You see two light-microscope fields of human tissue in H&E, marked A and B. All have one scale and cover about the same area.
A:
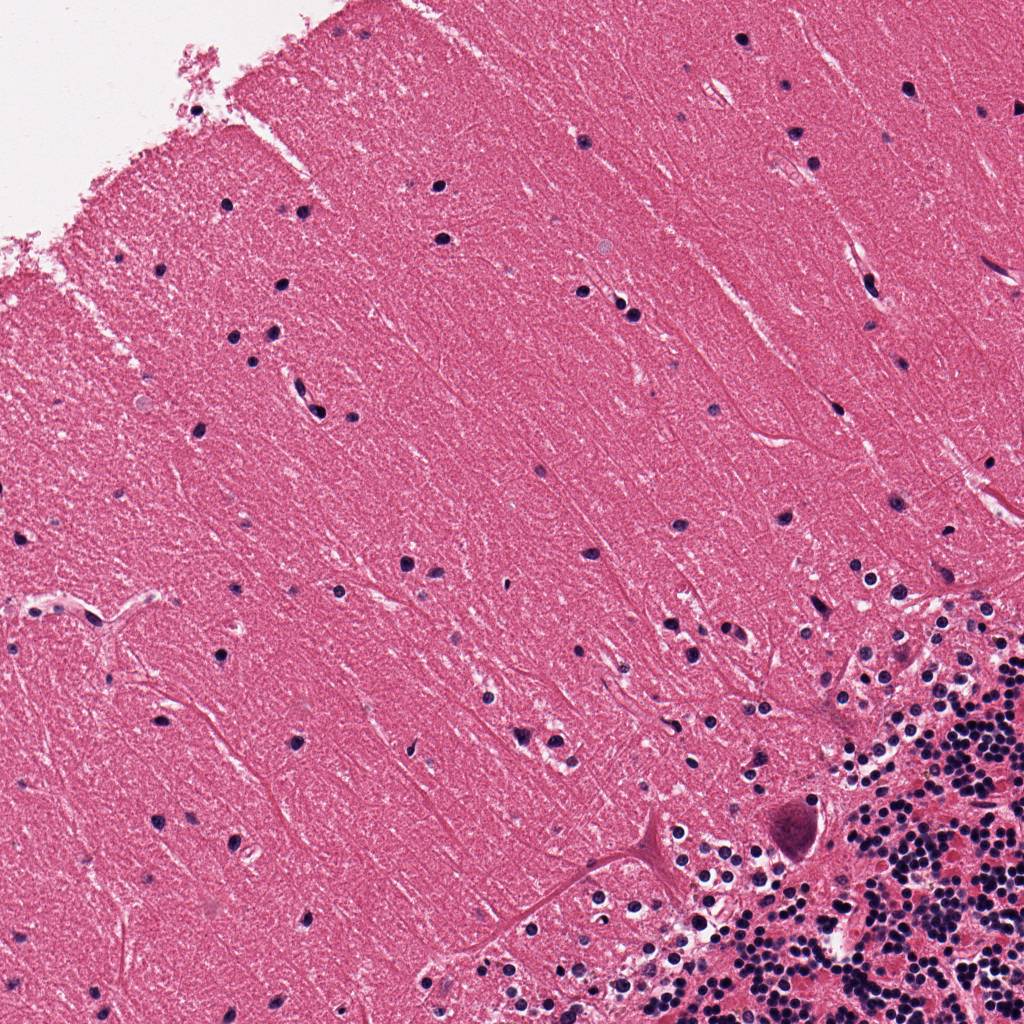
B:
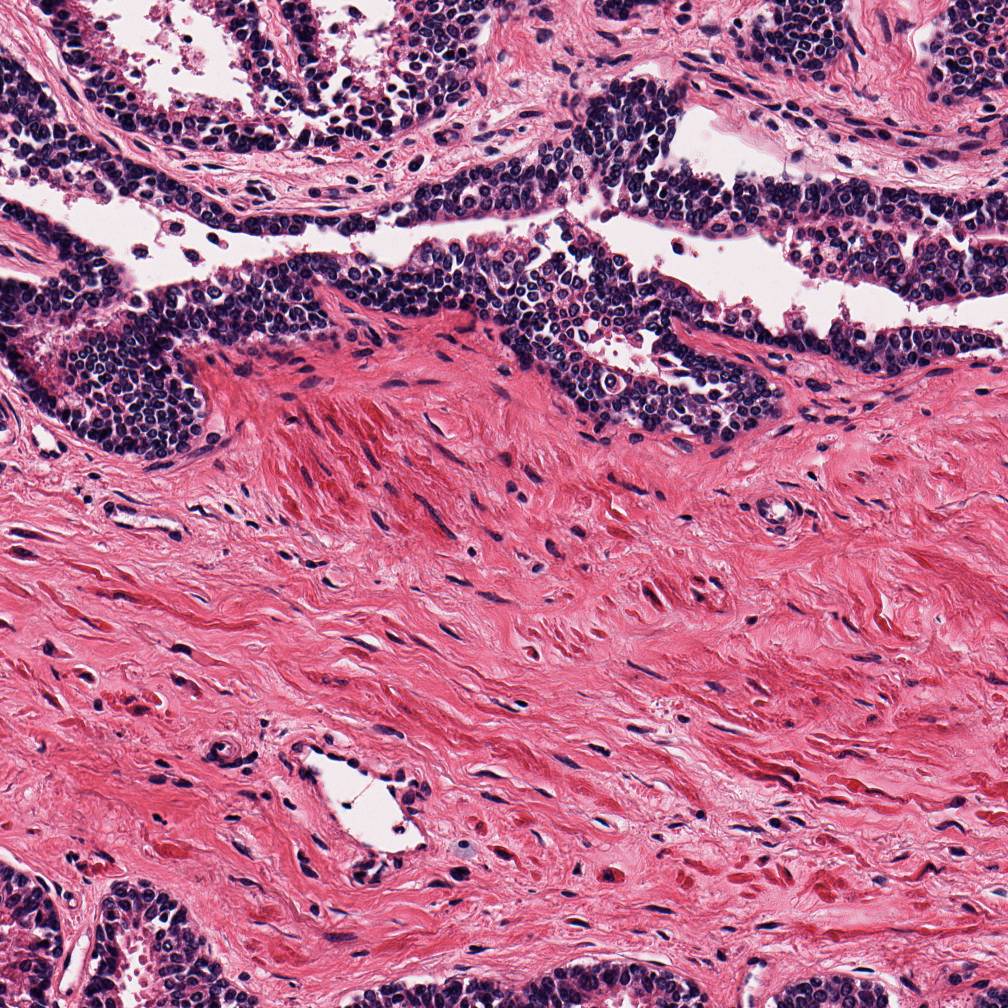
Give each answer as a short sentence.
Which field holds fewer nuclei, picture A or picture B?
There are fewer nuclei in picture A.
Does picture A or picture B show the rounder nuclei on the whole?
On the whole the nuclei of picture A are rounder than those of picture B.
